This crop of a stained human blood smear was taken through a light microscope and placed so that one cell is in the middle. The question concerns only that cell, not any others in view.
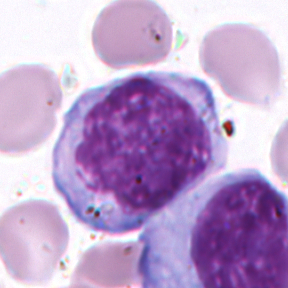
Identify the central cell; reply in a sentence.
What the crop centres on is a plasma cell.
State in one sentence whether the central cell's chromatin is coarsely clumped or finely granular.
Heads up, the chromatin is fine with no coarse clumps in it.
